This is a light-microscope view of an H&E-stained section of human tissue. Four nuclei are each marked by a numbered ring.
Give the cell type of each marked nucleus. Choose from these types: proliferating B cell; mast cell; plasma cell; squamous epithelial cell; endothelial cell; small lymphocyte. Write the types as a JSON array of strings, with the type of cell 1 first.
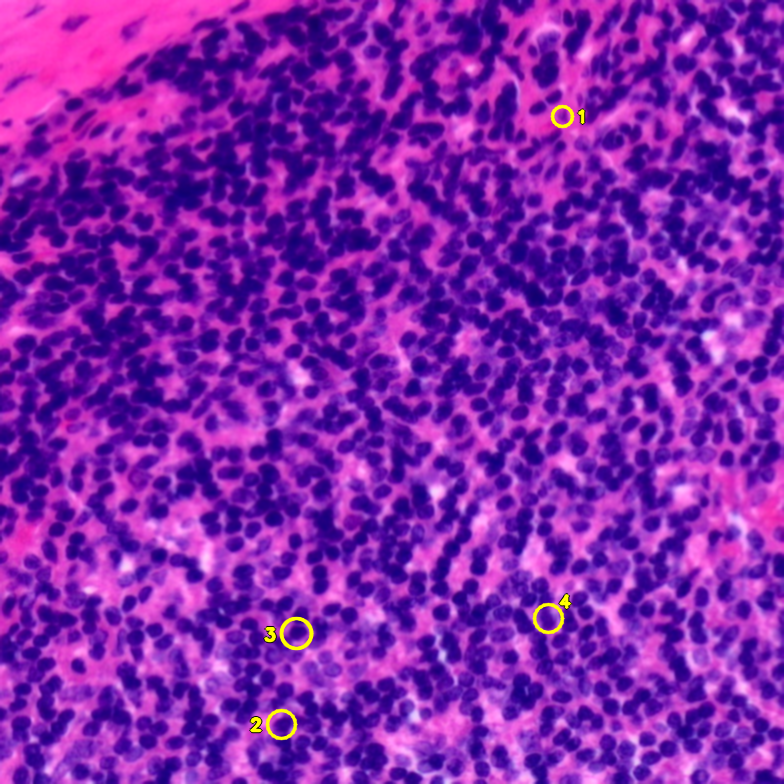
["endothelial cell", "small lymphocyte", "small lymphocyte", "small lymphocyte"]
